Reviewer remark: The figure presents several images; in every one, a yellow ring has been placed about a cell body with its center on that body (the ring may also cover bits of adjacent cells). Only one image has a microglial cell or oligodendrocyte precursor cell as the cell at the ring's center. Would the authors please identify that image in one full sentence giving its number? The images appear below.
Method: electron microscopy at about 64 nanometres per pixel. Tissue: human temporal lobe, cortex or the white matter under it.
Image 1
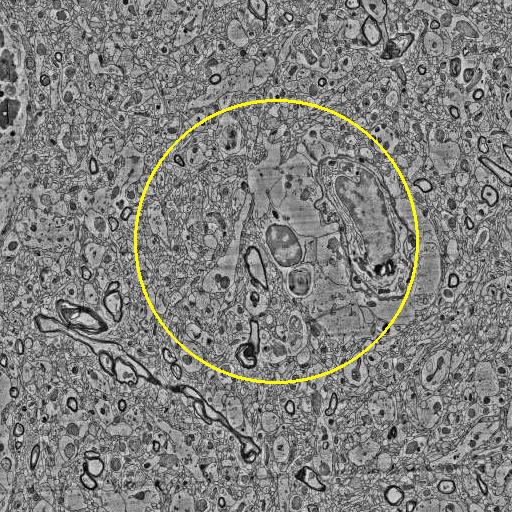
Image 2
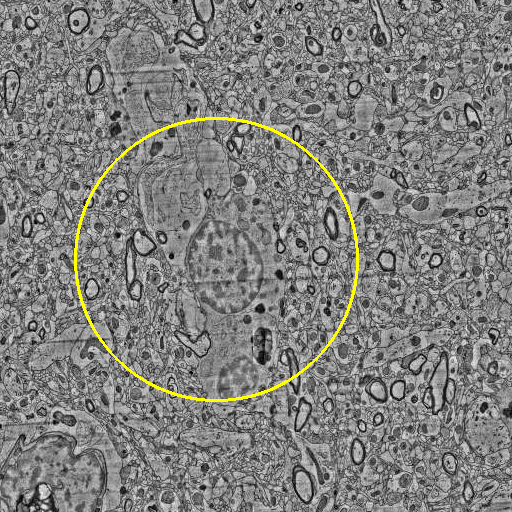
The ring's central cell in image 1 is the one the question describes.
